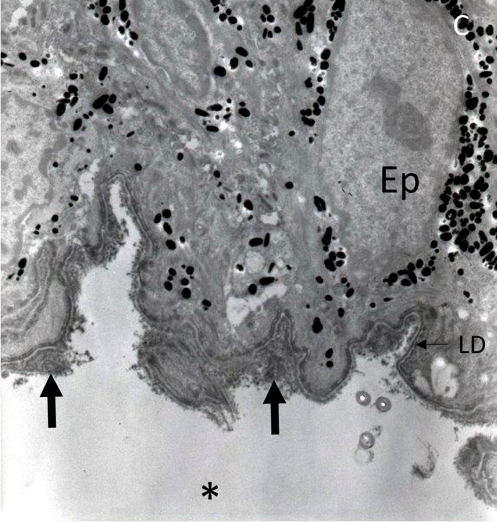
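Basal epidermal cells with deposits along their base and a split beneath them. The basal cells have a large pale nucleus with a nucleolus and cytoplasm holding clusters of dark oval granules. Their lower surface is scalloped and lined by a thin dense line with a dense band just beneath it. Below the band lies a wide, pale, empty space without attached connective tissue.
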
